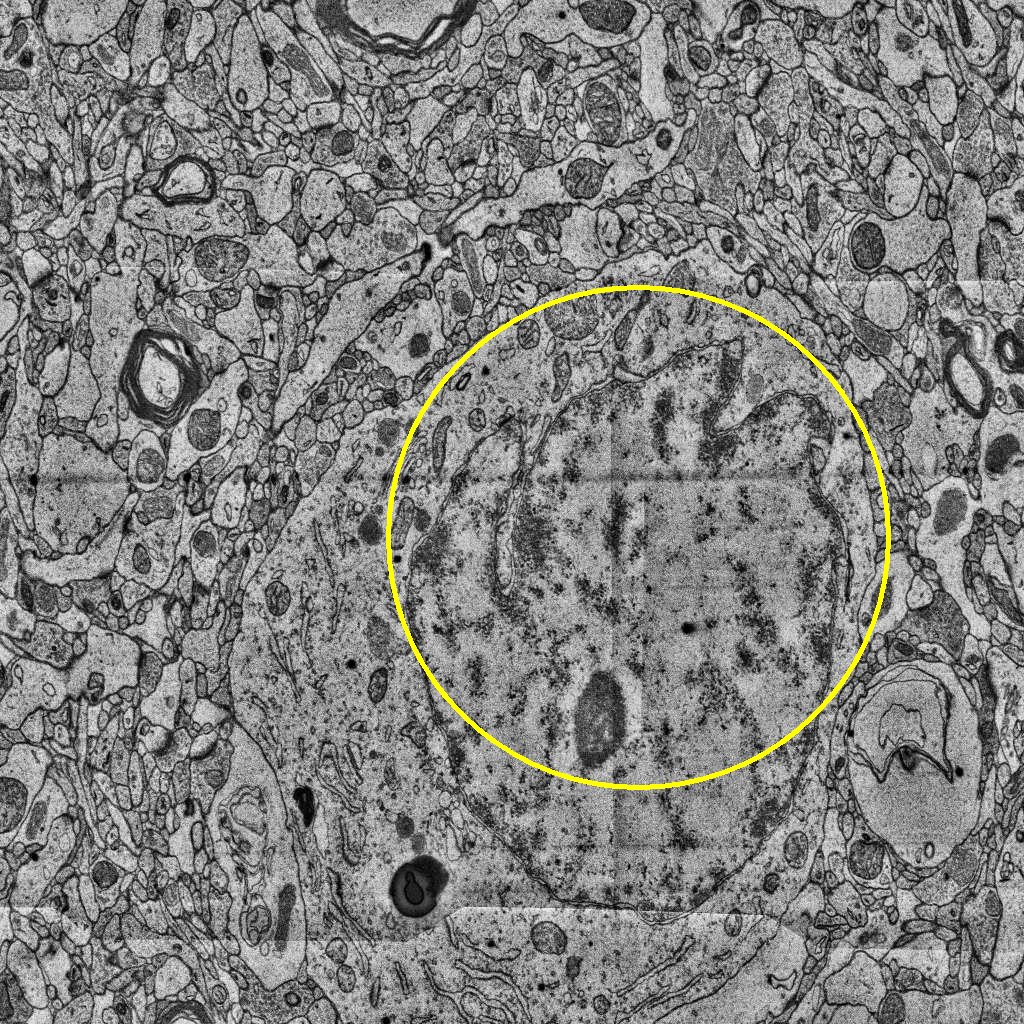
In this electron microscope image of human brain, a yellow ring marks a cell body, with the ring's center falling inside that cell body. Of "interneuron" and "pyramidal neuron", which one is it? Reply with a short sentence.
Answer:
It is an interneuron at the center of the ring.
